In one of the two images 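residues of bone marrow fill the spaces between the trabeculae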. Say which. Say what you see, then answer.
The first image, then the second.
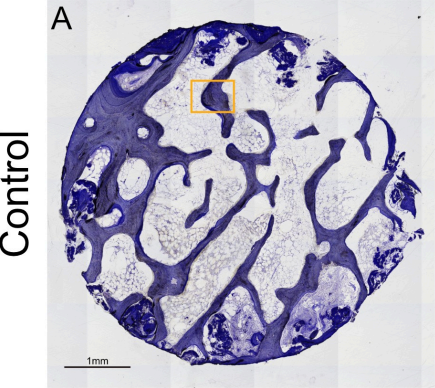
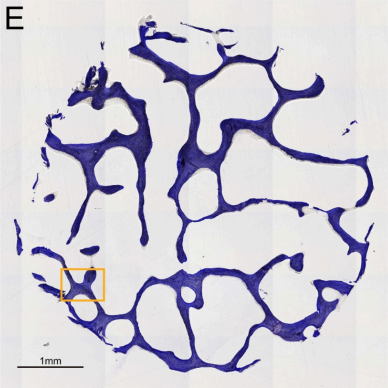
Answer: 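The first image. Second image: the spaces between the blue trabeculae are almost empty and clear. First image: many spaces between the trabeculae contain pale, meshwork-like marrow tissue and dark blue clumps.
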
